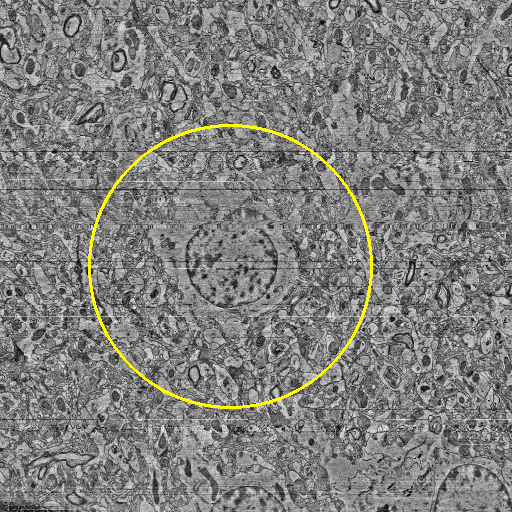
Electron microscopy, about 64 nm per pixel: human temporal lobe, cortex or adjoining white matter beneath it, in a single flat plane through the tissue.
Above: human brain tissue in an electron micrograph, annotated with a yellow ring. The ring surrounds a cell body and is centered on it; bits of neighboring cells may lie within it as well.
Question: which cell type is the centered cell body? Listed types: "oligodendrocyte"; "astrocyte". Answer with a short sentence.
The centered cell body is an astrocyte.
